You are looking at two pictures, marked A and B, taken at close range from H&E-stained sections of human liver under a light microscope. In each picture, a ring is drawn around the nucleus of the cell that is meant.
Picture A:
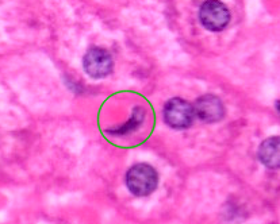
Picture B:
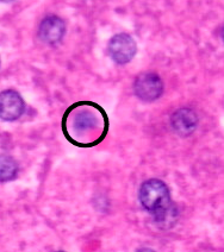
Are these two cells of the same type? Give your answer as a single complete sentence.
Yes, both cells are endothelial cells.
